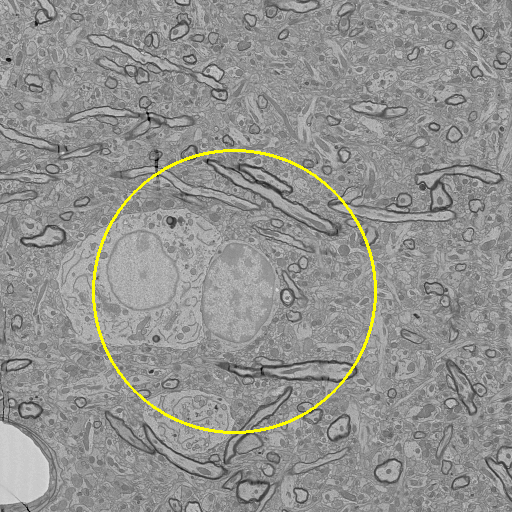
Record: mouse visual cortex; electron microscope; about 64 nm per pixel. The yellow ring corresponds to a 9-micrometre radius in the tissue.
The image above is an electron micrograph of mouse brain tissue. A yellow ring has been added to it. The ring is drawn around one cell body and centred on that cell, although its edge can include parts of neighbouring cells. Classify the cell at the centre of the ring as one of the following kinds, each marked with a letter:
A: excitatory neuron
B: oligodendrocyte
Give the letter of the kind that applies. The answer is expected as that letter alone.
B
